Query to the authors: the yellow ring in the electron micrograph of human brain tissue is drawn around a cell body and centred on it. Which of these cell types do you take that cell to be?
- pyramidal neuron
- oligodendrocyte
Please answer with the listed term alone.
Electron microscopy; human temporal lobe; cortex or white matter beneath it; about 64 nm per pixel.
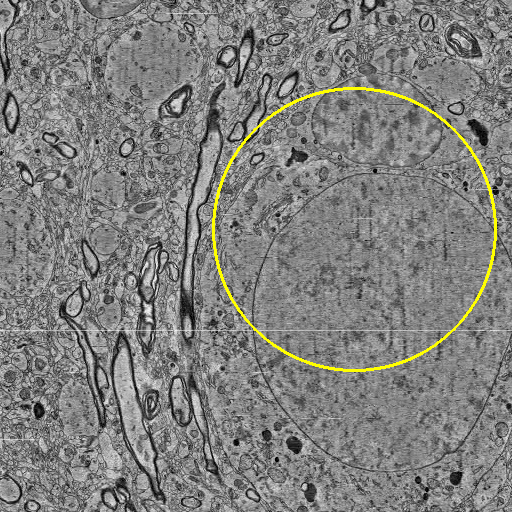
pyramidal neuron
